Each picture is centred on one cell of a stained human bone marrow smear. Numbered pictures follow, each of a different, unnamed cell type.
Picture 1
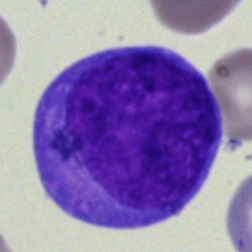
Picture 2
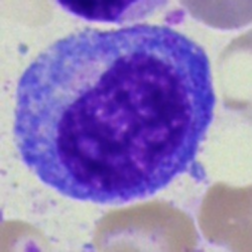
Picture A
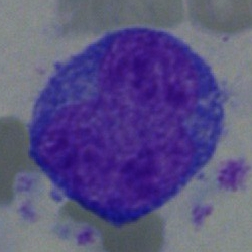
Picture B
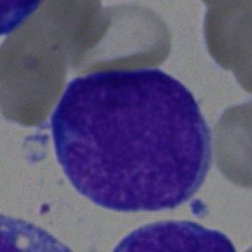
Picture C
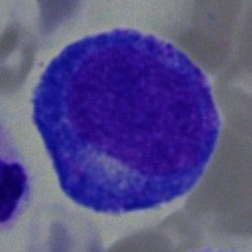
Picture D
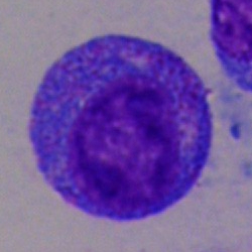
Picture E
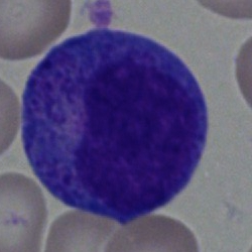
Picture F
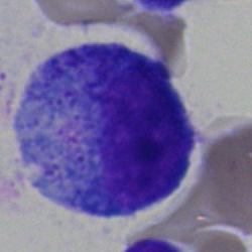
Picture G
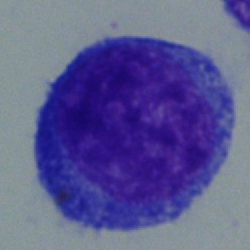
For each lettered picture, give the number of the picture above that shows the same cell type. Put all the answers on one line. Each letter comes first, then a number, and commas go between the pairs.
A 1, B 1, C 2, D 2, E 2, F 2, G 1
